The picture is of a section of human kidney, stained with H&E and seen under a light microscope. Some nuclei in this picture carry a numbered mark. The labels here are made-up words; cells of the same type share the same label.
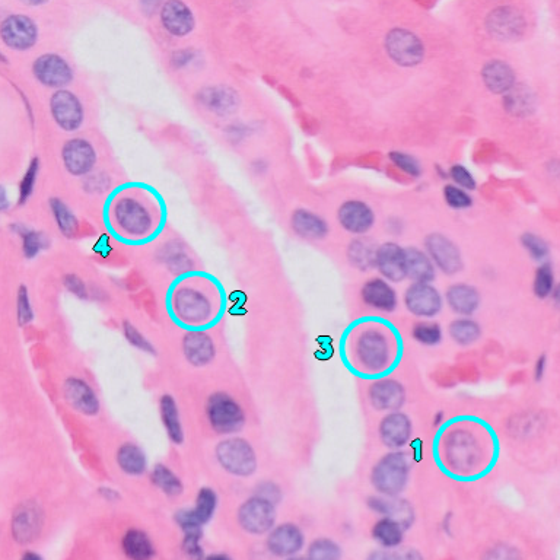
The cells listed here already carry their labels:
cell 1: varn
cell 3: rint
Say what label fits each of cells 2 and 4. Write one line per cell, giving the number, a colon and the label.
2: rint
4: rint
